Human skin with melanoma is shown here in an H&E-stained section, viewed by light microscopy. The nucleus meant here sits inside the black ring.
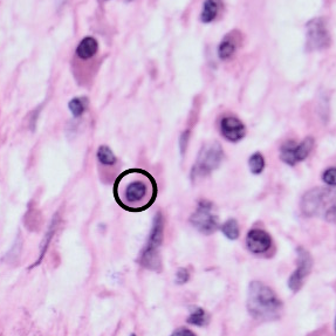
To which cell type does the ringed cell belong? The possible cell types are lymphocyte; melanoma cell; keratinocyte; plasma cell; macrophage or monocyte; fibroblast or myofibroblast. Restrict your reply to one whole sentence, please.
Placed in its cell category, the ringed cell is a plasma cell.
